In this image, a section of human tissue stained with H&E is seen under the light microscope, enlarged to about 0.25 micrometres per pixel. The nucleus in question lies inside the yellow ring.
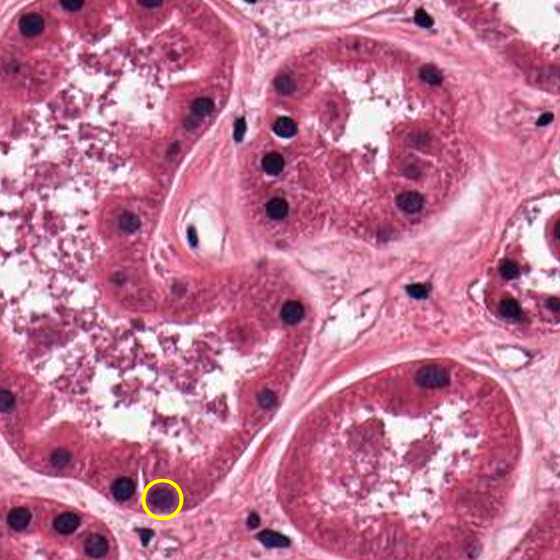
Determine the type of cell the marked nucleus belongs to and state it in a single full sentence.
The nucleus picked out by the mark is that of a proximal tubule cell.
